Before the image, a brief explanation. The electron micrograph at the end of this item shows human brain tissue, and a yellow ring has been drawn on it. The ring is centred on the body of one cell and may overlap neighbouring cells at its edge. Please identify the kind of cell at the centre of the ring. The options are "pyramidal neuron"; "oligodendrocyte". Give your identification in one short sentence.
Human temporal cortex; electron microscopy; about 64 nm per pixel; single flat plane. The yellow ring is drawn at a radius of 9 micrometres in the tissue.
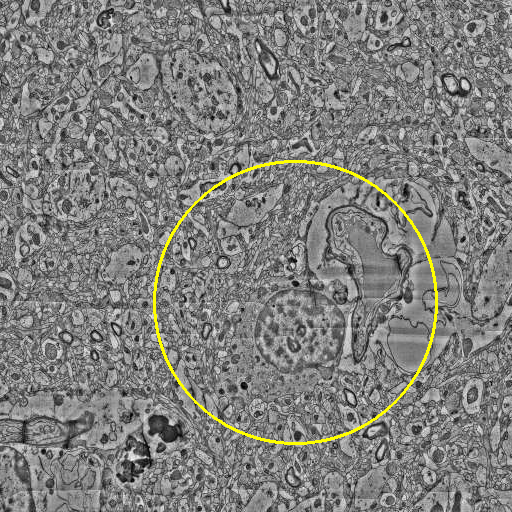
The ring has been placed around an oligodendrocyte.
